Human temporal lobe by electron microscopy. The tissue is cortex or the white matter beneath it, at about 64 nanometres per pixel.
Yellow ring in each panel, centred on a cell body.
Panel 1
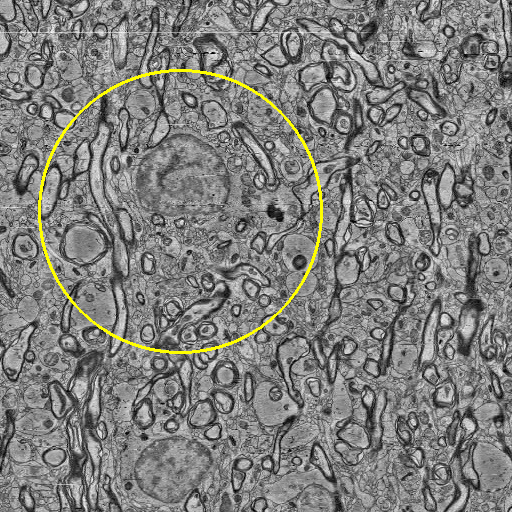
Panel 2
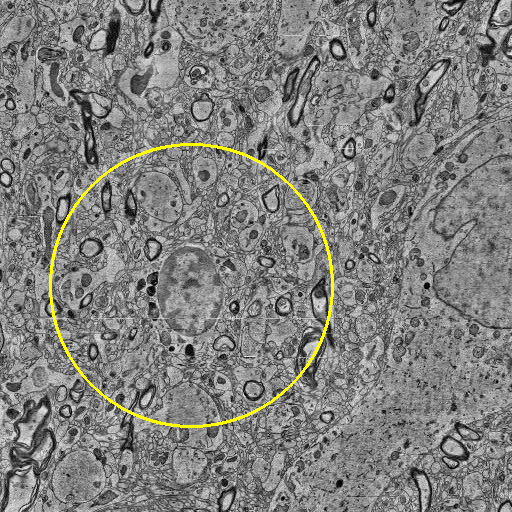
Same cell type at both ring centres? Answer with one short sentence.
No, the two cells are of two types.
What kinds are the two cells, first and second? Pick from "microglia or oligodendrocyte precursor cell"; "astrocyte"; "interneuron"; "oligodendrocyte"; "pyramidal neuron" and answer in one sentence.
The second picture holds a microglial cell or oligodendrocyte precursor cell in its ring, and the first holds an oligodendrocyte.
